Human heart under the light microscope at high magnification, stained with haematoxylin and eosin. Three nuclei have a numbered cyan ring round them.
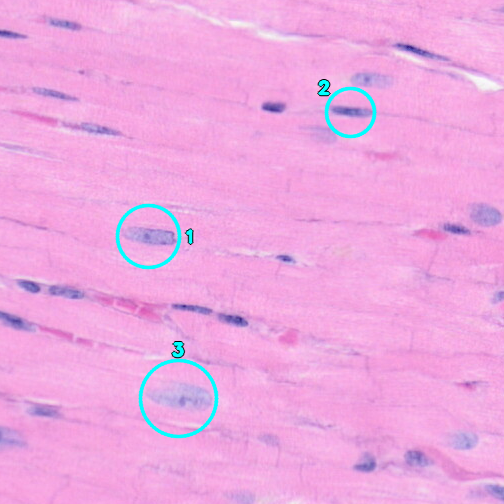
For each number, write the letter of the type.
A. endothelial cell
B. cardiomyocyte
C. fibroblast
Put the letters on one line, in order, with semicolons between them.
B; A; B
